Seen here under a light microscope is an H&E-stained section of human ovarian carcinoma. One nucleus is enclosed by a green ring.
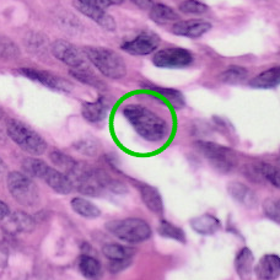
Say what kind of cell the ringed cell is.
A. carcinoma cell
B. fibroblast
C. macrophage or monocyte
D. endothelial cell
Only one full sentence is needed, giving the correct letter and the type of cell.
The item is answered by option A: the ringed cell is a carcinoma cell.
